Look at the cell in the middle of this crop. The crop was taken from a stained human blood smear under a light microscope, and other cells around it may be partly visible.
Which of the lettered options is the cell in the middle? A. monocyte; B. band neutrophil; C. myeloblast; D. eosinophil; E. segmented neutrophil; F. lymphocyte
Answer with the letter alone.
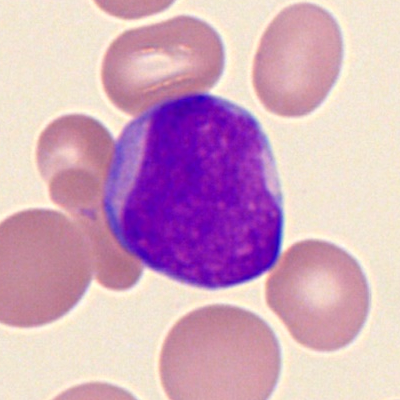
C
